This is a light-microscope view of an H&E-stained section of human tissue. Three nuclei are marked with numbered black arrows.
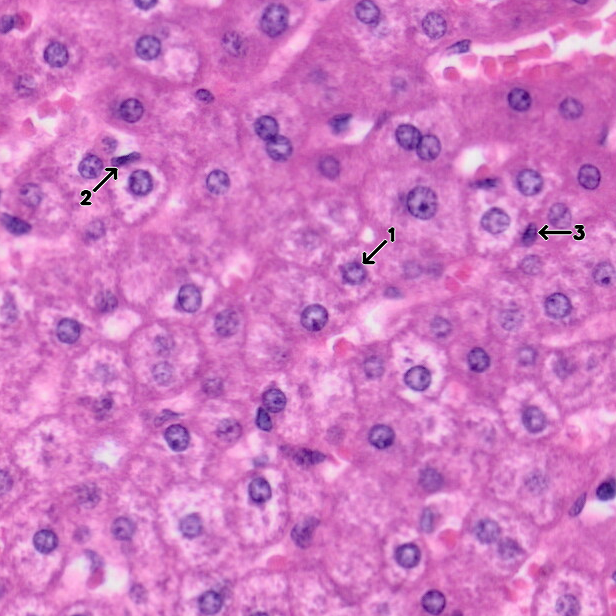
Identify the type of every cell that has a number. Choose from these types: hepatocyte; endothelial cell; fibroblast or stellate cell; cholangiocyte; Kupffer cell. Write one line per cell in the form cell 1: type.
cell 1: hepatocyte
cell 2: endothelial cell
cell 3: fibroblast or stellate cell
